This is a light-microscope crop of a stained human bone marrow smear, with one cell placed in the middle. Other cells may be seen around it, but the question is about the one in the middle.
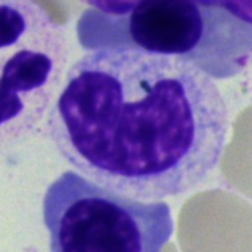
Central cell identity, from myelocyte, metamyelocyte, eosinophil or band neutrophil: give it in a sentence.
Centrally within this crop lies a band neutrophil.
